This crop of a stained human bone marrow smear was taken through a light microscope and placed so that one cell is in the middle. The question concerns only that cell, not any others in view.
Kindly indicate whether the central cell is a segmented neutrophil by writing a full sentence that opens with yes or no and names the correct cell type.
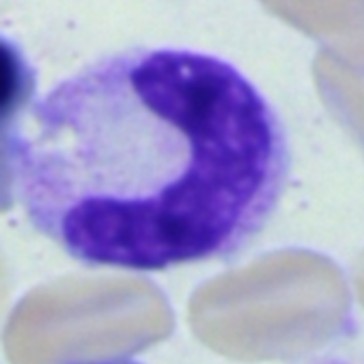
No, at the middle of the crop is a band neutrophil, not a segmented neutrophil.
